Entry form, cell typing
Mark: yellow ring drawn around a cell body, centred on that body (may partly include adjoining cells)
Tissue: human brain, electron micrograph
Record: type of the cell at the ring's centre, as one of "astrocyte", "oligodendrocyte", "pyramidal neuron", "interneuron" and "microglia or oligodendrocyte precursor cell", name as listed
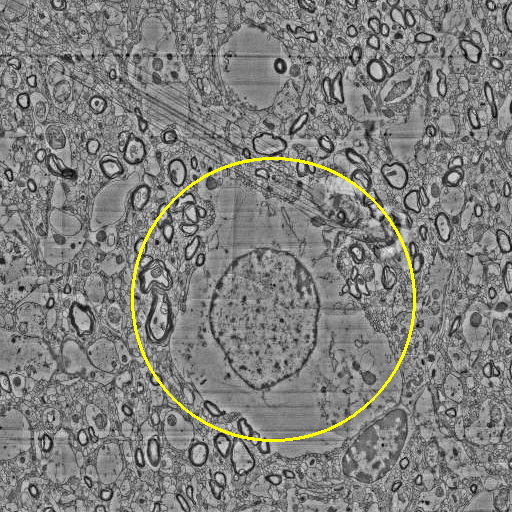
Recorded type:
astrocyte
